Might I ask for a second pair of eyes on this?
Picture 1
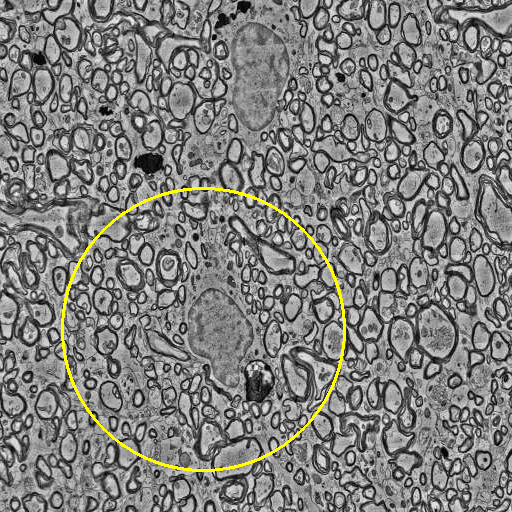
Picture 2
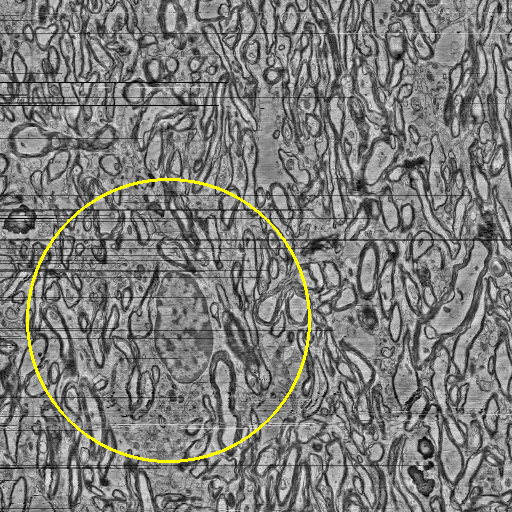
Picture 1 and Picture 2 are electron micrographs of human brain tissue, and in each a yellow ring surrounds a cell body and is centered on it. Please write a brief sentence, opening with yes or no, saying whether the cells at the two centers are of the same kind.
No, the cells are of two kinds.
